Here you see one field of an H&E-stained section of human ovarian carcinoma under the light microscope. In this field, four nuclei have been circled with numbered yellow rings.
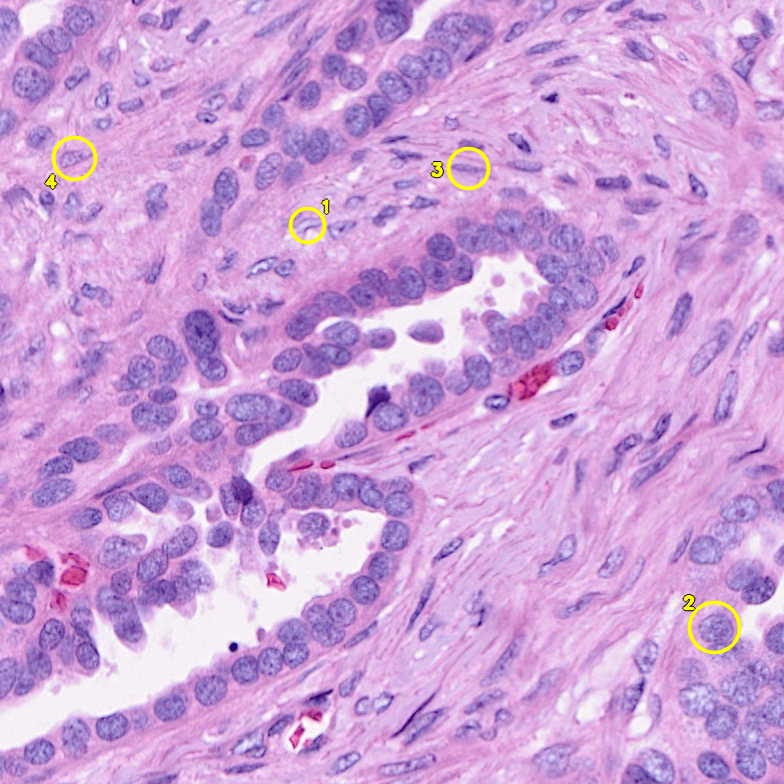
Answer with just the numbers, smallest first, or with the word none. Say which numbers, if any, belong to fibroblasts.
1, 3, 4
